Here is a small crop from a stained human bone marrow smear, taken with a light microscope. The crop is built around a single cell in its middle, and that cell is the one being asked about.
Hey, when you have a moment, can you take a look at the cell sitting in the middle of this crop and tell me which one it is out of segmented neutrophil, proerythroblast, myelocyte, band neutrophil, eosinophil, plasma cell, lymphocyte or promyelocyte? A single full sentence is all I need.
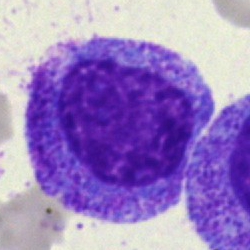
The central element of this crop is a cell, namely a promyelocyte.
